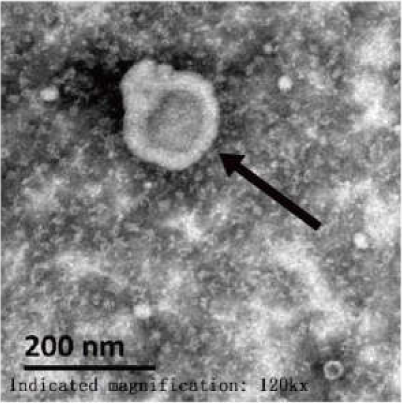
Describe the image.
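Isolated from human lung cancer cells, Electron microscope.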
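The vesicle is round, with a pale, fairly thick rim surrounding a slightly darker central area. Its diameter is comparable to or a little smaller than the 200 nm scale bar. Much smaller round particles are scattered across the background around it.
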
